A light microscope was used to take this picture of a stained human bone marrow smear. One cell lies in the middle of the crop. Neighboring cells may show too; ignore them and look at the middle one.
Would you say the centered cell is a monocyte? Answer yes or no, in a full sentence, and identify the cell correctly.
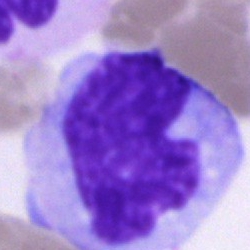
Yes, at the centre of the crop lies a monocyte.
